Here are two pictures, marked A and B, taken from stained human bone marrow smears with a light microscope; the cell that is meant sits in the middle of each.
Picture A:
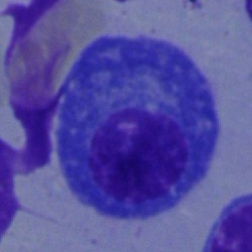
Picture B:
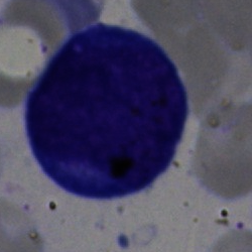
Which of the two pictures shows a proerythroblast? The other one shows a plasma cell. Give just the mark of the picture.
B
